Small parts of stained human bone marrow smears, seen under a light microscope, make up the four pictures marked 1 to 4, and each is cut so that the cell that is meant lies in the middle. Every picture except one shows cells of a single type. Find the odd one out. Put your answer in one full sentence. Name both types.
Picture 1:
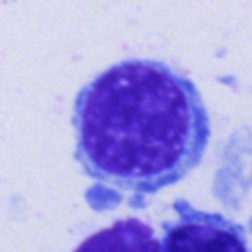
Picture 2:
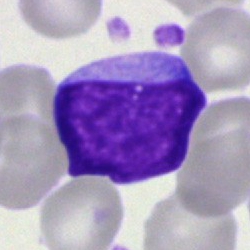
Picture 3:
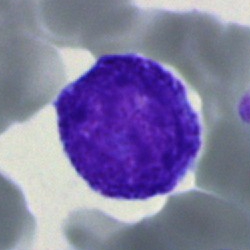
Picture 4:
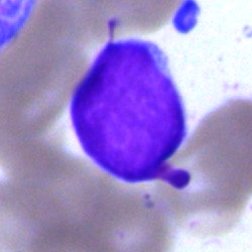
Picture 1 differs, because its cell is a lymphocyte and the rest are blasts.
